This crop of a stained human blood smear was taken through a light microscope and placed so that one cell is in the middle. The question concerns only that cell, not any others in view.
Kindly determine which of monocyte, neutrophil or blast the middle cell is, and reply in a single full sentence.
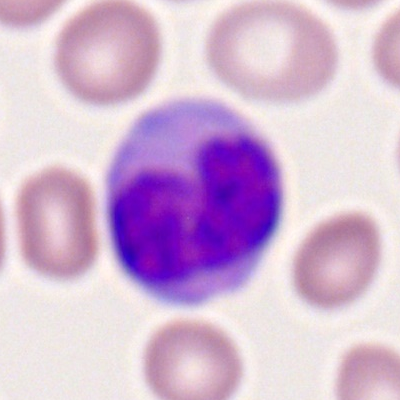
The cell at the central position in this crop is a monocyte.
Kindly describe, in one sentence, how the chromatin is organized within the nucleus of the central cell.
Its chromatin is clumped in a coarse pattern.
